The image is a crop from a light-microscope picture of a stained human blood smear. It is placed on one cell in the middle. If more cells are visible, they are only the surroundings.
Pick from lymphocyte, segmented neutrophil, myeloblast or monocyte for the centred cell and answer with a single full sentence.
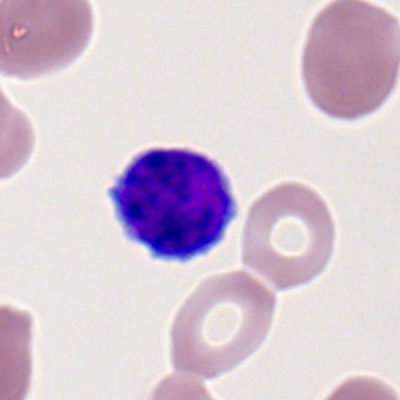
The centrally placed cell is classified as a lymphocyte.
